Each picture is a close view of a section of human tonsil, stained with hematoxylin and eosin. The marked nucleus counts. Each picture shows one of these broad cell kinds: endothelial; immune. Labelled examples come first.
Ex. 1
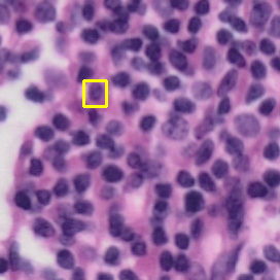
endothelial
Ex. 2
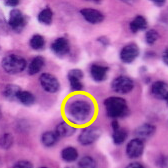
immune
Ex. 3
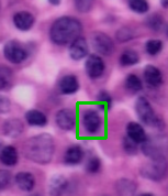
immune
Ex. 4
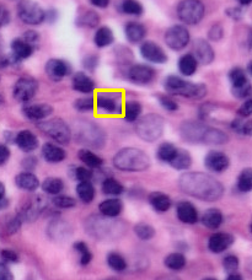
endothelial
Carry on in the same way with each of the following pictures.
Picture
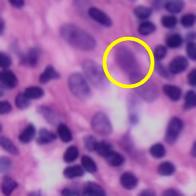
endothelial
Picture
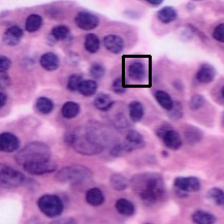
immune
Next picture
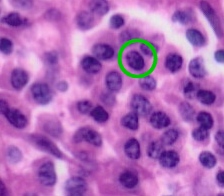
immune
